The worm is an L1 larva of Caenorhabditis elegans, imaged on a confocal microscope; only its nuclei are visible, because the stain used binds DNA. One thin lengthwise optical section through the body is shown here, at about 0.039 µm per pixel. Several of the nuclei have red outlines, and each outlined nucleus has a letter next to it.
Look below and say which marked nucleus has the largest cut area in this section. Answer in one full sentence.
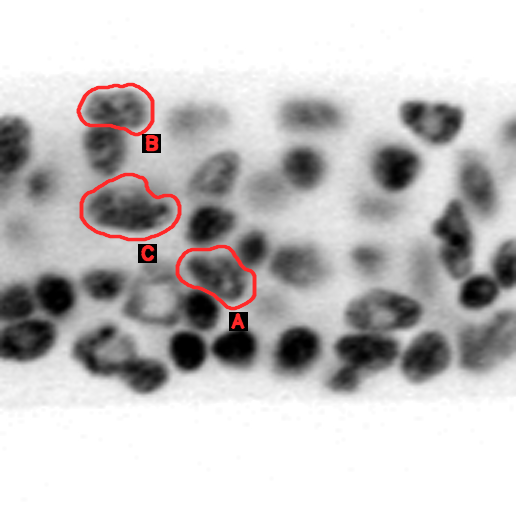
Nucleus C covers the most area here.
